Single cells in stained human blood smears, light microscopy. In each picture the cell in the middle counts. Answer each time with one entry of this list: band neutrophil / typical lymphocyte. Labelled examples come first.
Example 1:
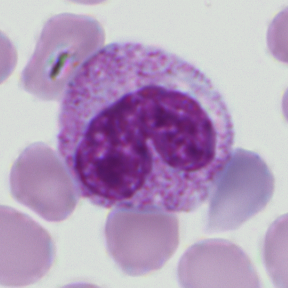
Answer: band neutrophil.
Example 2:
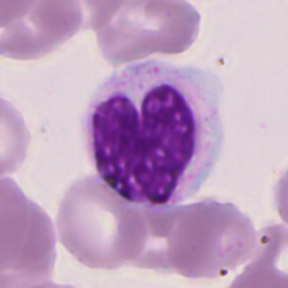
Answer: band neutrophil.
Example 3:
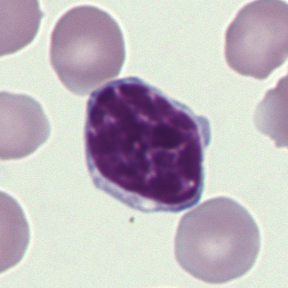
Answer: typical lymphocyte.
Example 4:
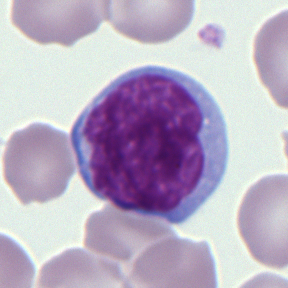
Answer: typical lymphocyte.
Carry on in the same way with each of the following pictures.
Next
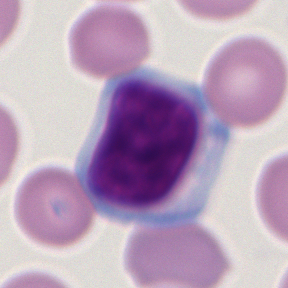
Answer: typical lymphocyte.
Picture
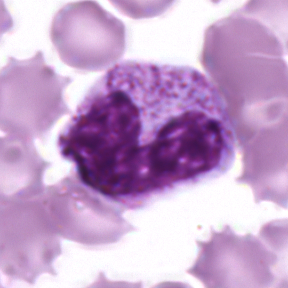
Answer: band neutrophil.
